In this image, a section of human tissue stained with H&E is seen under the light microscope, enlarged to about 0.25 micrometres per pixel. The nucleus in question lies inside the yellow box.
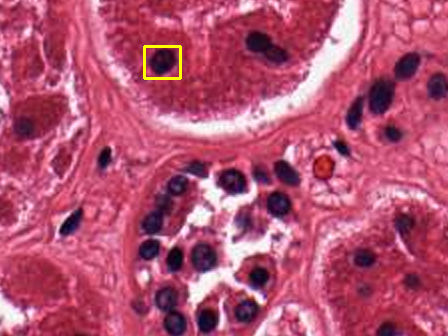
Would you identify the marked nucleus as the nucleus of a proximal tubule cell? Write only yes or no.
yes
